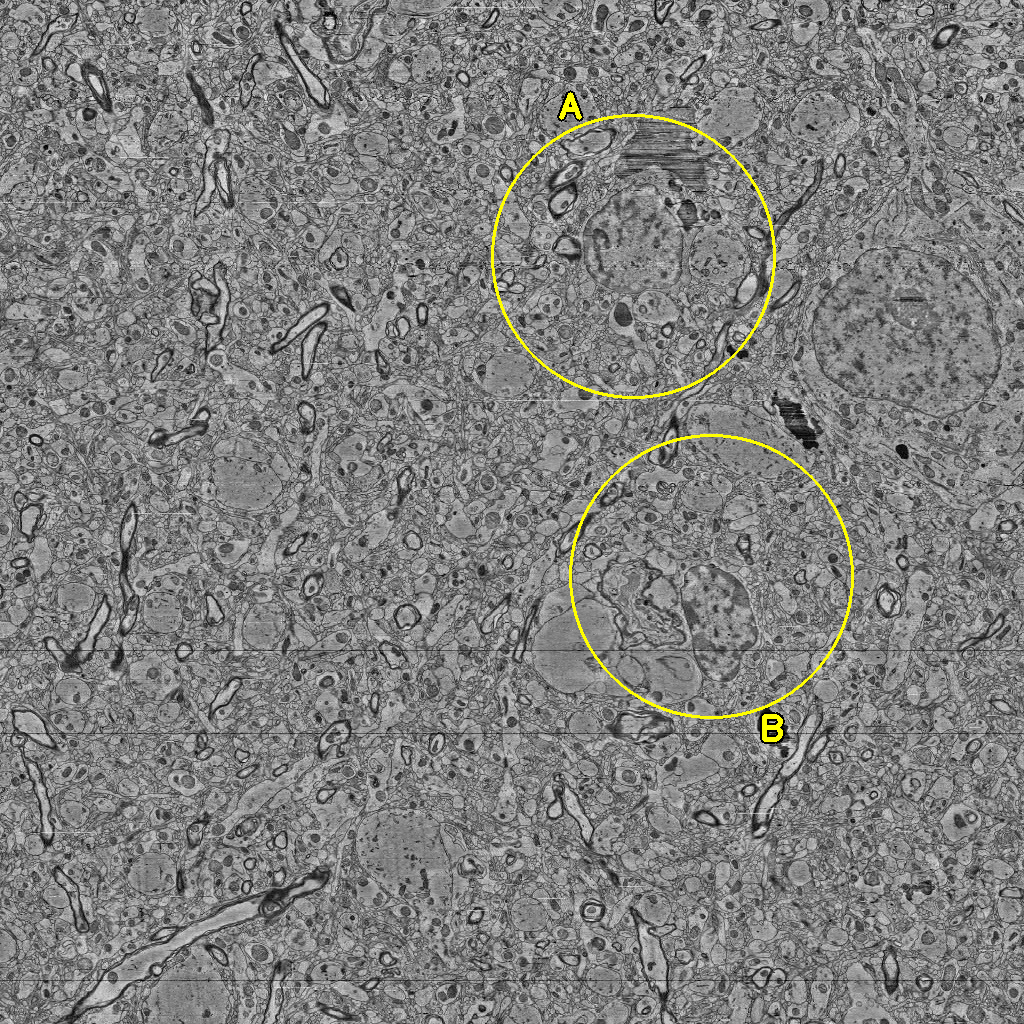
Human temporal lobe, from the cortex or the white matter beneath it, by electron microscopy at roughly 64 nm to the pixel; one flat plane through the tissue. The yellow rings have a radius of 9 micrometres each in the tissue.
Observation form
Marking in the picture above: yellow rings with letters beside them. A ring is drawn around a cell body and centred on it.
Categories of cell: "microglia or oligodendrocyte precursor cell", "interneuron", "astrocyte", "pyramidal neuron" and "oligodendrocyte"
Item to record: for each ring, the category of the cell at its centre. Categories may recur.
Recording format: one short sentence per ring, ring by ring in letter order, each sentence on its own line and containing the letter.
Ring A is placed on an oligodendrocyte.
Ring B is placed on a microglial cell or oligodendrocyte precursor cell.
